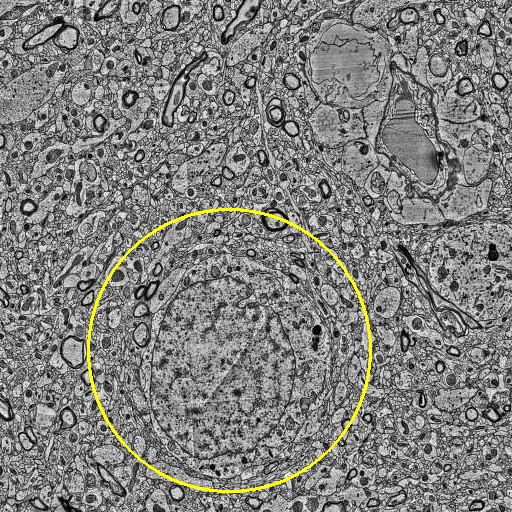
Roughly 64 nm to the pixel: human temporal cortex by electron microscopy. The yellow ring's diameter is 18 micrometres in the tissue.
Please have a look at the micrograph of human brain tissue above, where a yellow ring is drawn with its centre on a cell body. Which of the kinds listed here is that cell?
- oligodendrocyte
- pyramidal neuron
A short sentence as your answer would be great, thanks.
At the centre of the ring sits a pyramidal neuron.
